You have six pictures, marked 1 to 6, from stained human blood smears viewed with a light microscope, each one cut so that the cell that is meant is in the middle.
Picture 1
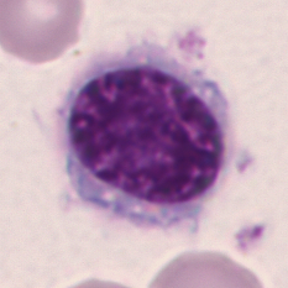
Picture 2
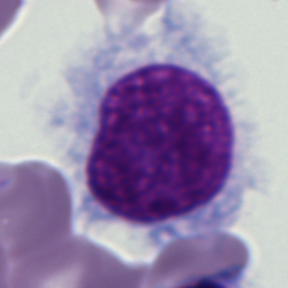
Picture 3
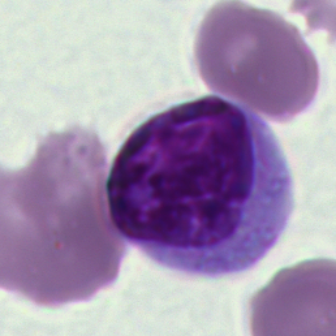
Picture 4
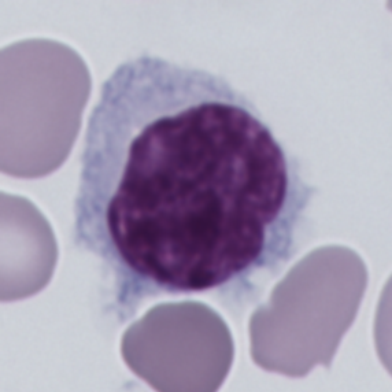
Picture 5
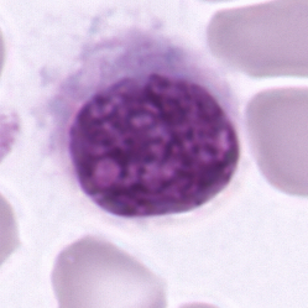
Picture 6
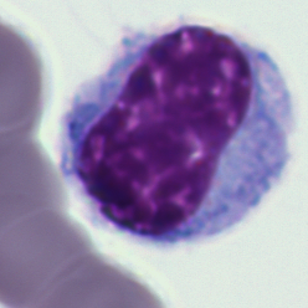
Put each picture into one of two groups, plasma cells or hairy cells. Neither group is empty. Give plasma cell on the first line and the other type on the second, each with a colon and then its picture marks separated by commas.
plasma cell: 1, 3, 5, 6
hairy cell: 2, 4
